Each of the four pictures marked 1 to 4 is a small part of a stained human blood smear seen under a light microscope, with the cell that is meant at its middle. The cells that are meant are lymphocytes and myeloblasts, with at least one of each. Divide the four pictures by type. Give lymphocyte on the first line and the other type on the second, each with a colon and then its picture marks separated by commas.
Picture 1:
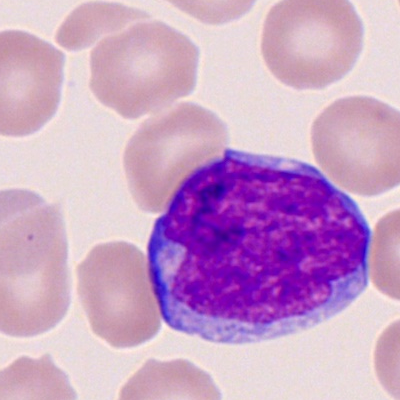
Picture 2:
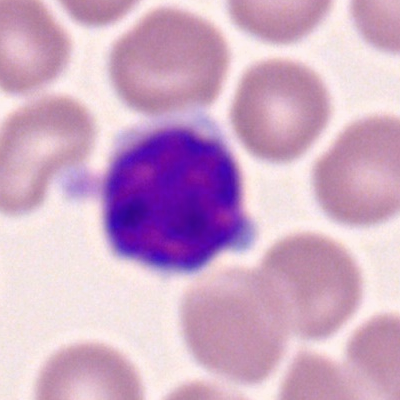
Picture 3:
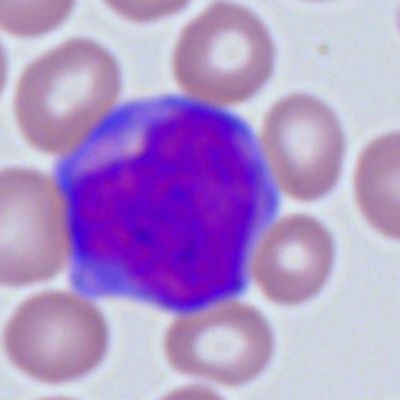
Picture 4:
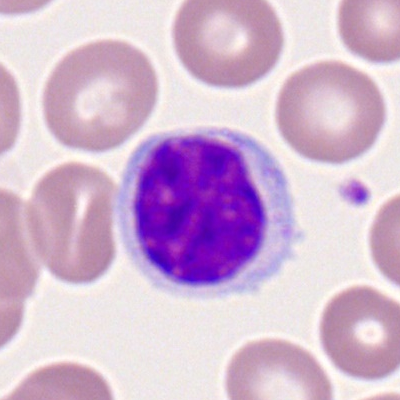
lymphocyte: 2, 4
myeloblast: 1, 3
